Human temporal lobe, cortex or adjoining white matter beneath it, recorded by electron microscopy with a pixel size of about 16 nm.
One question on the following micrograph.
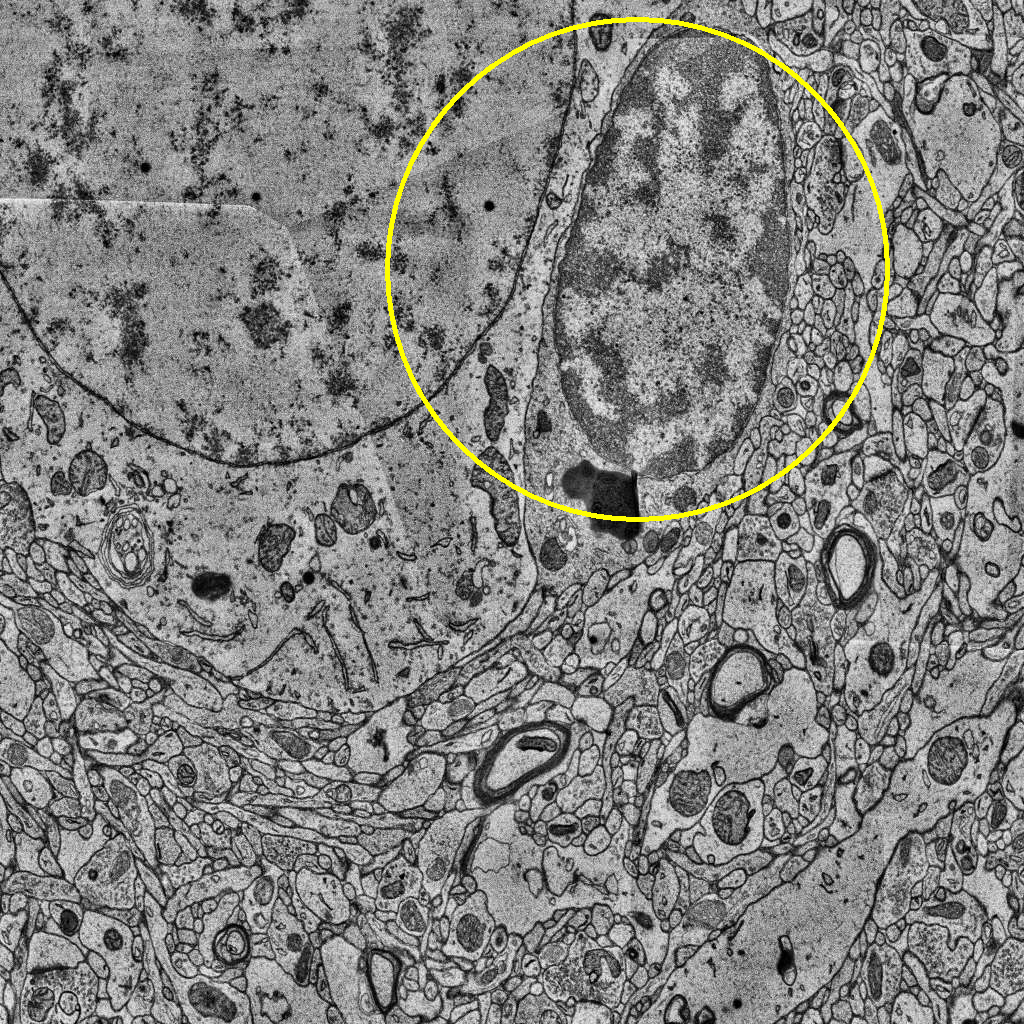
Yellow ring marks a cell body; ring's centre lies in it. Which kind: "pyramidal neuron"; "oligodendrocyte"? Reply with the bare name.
oligodendrocyte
